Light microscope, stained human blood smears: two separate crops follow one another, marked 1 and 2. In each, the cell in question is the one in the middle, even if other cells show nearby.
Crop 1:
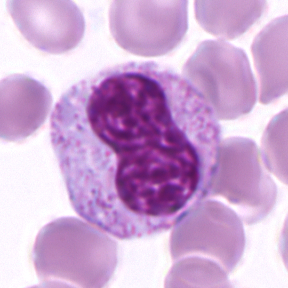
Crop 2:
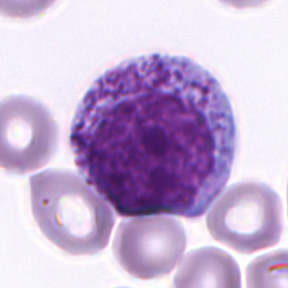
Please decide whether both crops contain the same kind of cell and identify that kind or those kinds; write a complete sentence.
No, enter a metamyelocyte for crop 1 and a myelocyte for crop 2.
